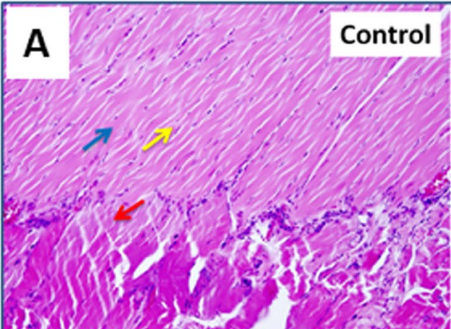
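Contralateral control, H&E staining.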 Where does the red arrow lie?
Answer: Muscle-tendon interphase.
